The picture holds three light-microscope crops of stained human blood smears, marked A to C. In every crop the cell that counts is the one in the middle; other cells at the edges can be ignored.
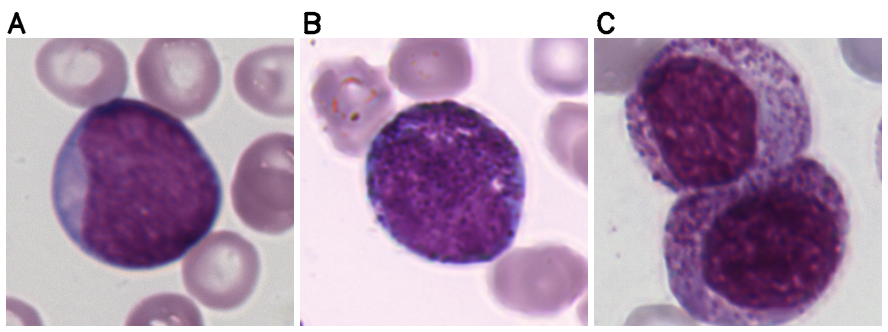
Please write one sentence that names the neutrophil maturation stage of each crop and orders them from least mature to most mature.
In ascending order of maturity, the sequence is crop A (a blast), crop B (a promyelocyte) and crop C (a myelocyte).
